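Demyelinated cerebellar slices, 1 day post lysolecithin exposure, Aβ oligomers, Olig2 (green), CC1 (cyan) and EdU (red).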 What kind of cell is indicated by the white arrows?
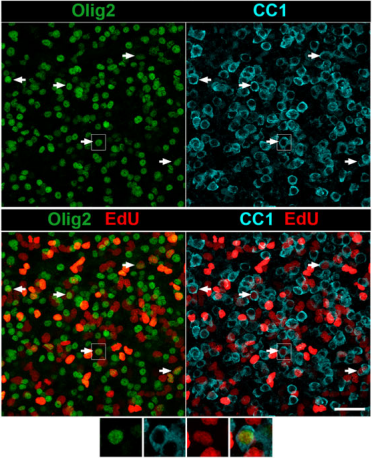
New mature oligodendrocytes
